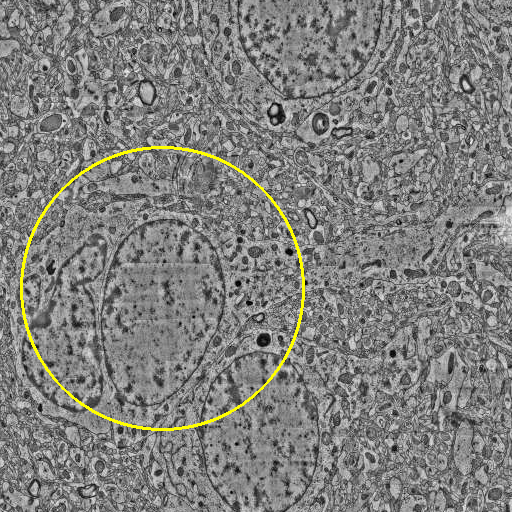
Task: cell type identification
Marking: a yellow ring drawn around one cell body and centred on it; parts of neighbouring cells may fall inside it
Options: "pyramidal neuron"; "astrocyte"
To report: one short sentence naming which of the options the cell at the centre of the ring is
The cell at the centre of the ring is a pyramidal neuron.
